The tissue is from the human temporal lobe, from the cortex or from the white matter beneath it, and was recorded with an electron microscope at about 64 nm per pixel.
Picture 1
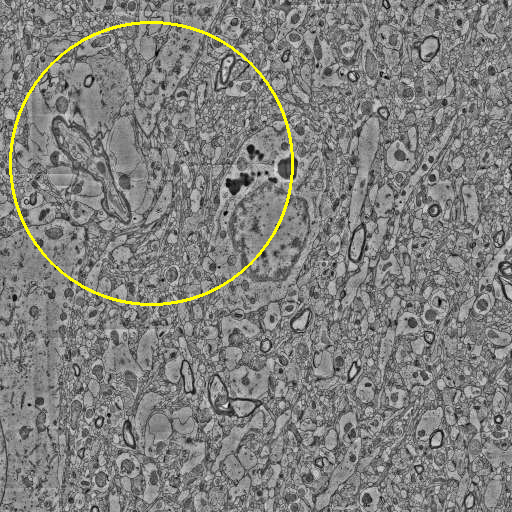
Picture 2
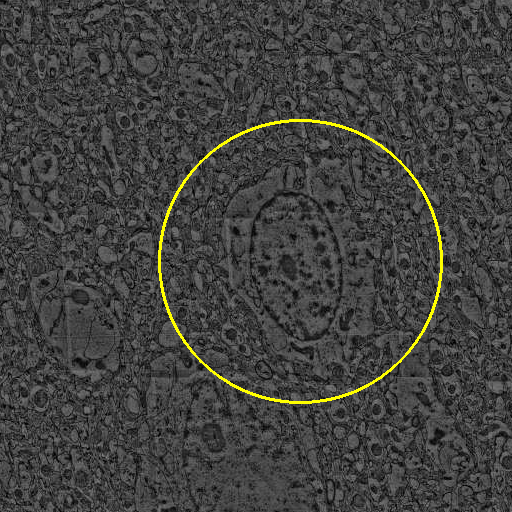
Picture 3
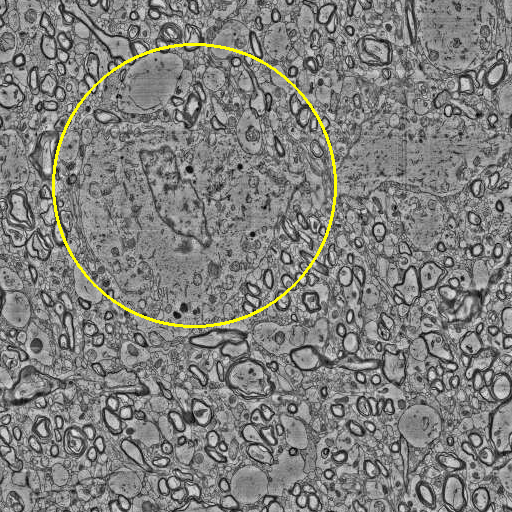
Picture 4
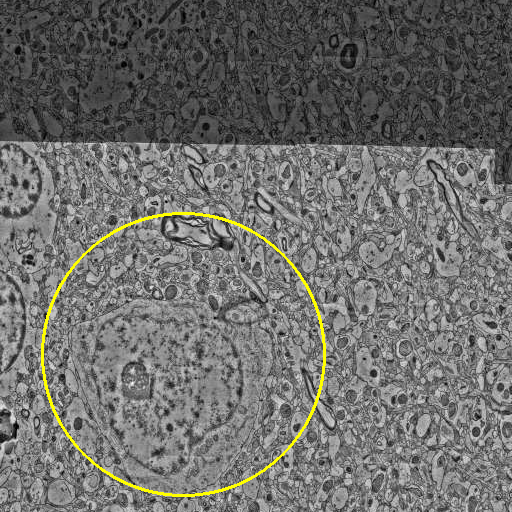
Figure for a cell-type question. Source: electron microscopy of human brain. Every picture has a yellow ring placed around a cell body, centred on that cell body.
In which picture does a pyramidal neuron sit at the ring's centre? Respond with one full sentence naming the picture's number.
The cell in the middle of the ring in picture 3 is the one sought.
